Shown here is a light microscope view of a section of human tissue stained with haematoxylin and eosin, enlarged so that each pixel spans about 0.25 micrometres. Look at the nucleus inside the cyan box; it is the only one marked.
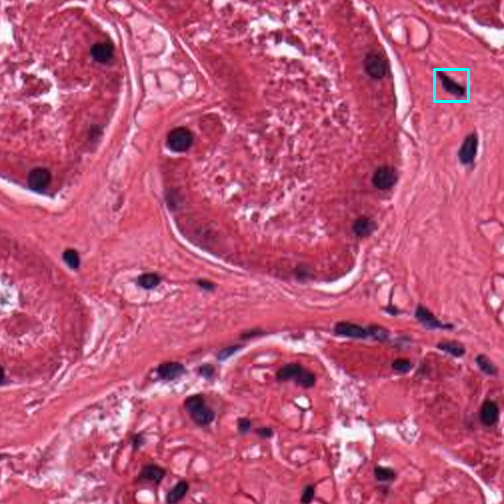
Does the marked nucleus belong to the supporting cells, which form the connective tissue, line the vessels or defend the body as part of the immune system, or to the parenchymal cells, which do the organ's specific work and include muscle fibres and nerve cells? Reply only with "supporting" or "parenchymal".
supporting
